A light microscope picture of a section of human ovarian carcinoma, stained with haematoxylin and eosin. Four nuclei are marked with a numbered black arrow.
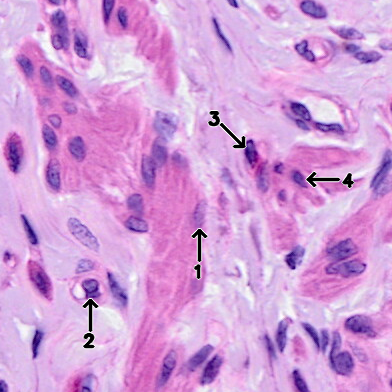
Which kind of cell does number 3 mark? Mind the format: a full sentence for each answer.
The expected answer is that cell 3 is an endothelial cell.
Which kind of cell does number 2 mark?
The cell bearing label 2 corresponds to an endothelial cell.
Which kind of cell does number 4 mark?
Cell 4 should be recorded as a smooth muscle cell.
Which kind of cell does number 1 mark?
The cell that goes by number 1 is a smooth muscle cell.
